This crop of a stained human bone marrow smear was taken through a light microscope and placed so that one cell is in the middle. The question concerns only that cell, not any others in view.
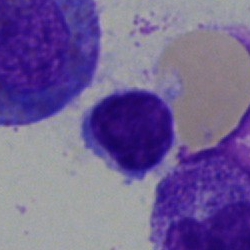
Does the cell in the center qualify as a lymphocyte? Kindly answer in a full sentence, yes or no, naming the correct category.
Yes, the cell in the central position is a lymphocyte.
